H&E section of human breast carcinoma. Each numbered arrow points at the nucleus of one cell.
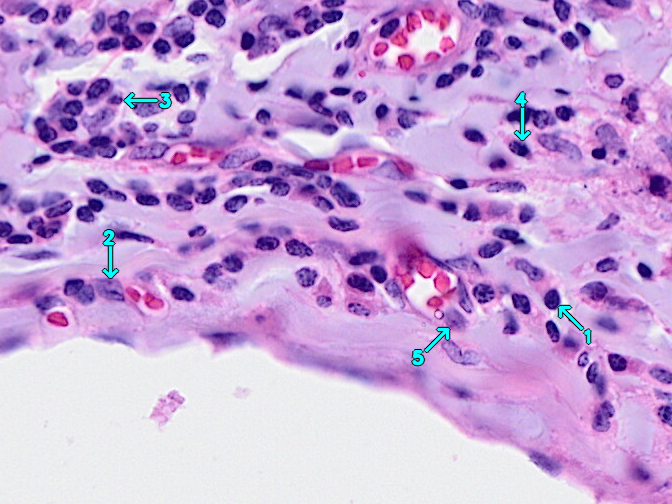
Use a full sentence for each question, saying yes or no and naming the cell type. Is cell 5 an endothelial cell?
Yes, the cell at the mark numbered 5 is an endothelial cell.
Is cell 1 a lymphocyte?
Yes, the cell with number 1 is a lymphocyte.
